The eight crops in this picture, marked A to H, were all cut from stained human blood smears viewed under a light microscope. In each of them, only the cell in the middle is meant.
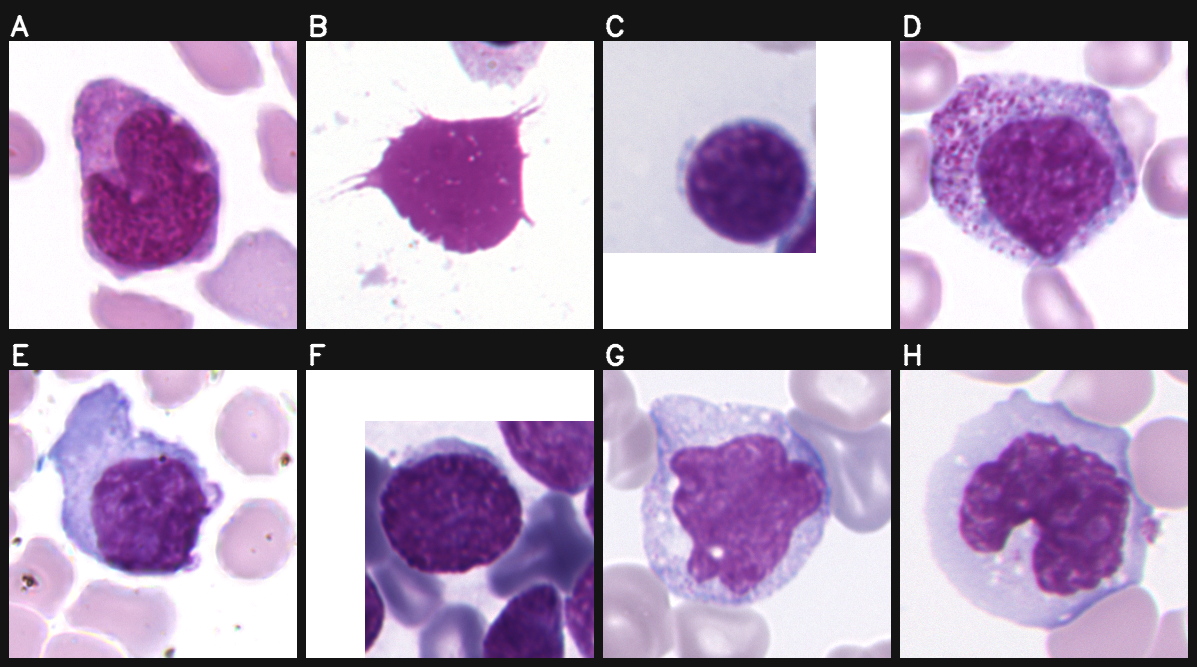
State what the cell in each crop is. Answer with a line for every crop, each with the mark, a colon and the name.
A: atypical promyelocyte
B: smudge cell
C: myeloblast
D: promyelocyte
E: plasma cell
F: myeloblast
G: monocyte
H: monocyte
